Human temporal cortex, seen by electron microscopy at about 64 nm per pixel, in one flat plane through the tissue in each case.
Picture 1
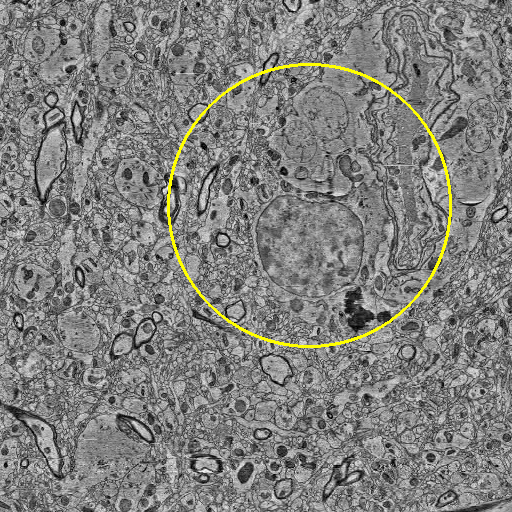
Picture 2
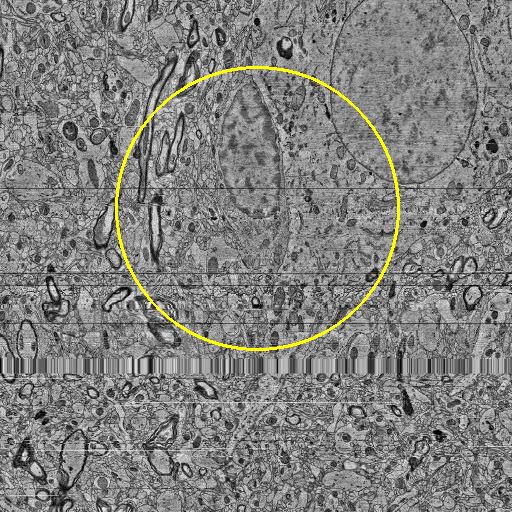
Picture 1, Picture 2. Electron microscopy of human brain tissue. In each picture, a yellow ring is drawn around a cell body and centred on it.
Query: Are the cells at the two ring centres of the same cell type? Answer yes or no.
yes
